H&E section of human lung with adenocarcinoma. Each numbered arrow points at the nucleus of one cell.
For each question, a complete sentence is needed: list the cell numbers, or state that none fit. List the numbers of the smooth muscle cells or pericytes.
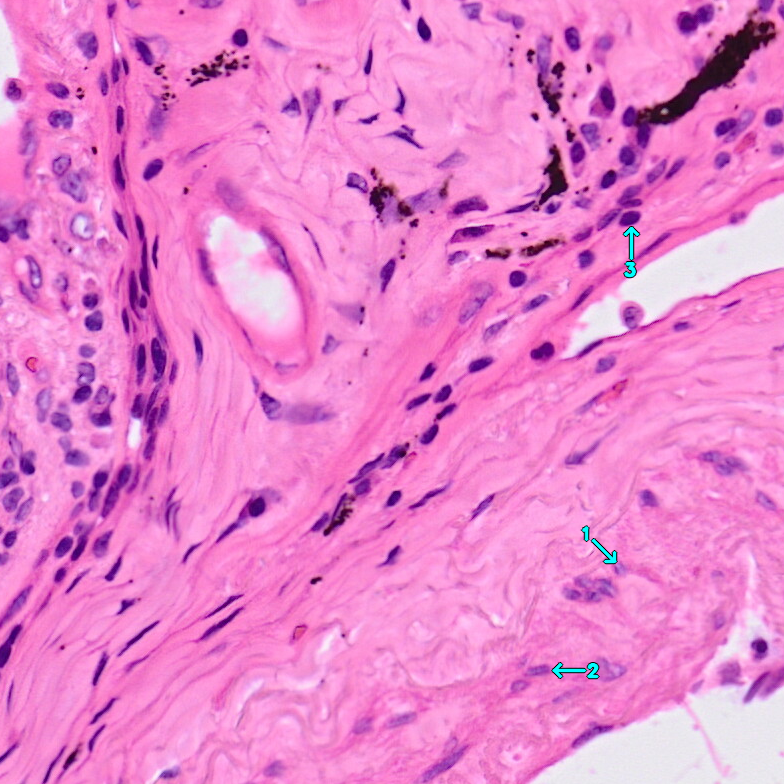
As for the cells numbered 1 and 2, they are smooth muscle cells or pericytes.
